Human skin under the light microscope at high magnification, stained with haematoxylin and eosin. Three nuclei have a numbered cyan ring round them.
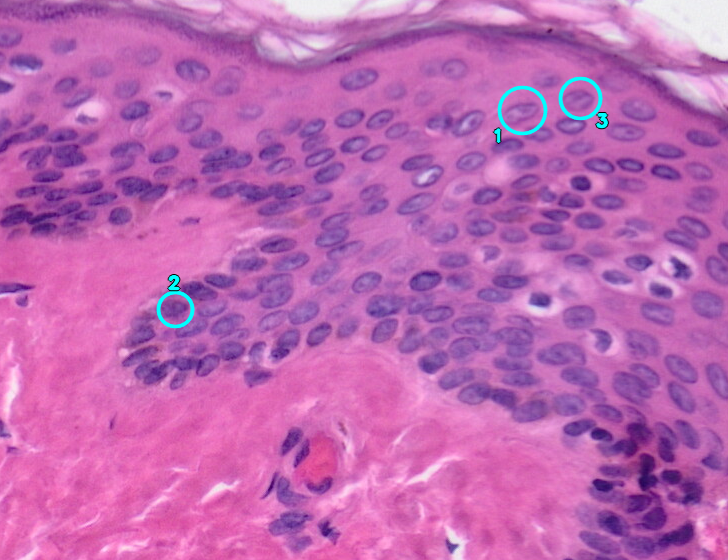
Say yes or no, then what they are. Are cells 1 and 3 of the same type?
Yes, with respect to identity, cells 1 and 3 are both suprabasal keratinocytes.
